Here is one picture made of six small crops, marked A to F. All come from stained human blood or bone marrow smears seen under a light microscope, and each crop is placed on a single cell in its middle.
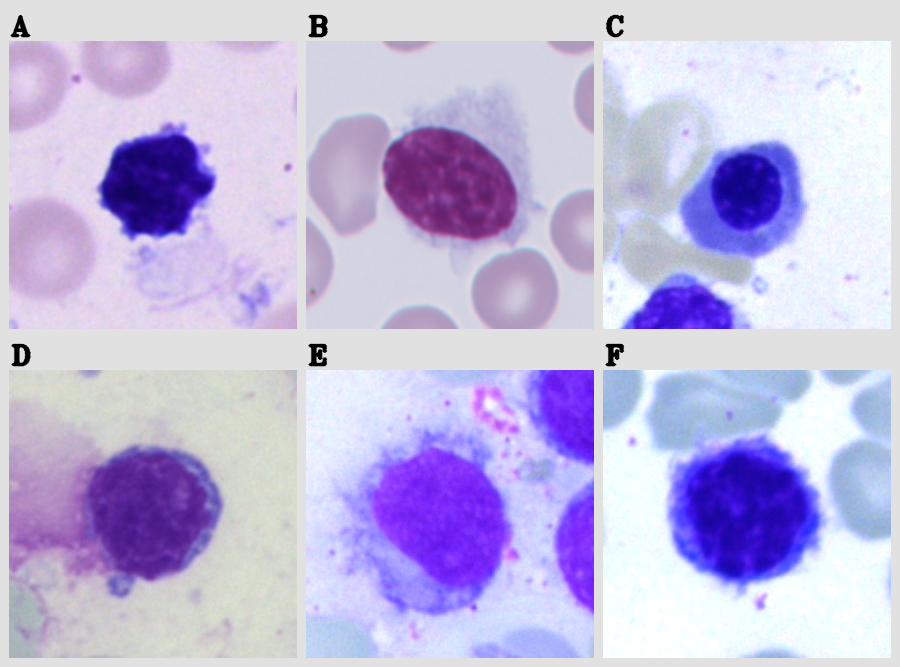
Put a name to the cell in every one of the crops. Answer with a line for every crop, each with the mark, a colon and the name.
A: lymphocyte
B: hairy cell
C: normoblast
D: lymphocyte
E: hairy cell
F: hairy cell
